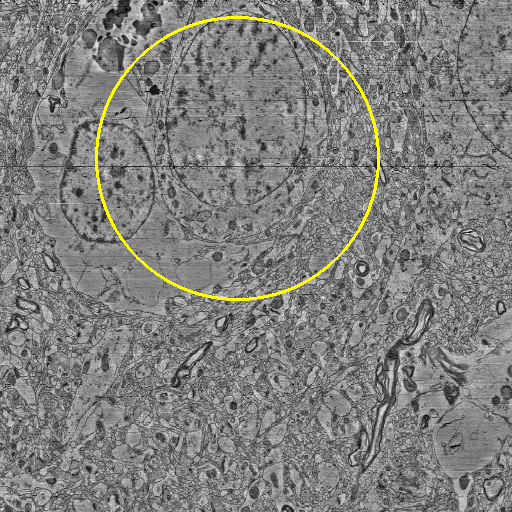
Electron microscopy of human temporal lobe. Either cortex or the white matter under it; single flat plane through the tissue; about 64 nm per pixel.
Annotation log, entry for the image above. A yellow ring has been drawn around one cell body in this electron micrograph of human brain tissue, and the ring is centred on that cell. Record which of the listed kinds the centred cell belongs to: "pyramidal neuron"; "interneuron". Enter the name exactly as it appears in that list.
pyramidal neuron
